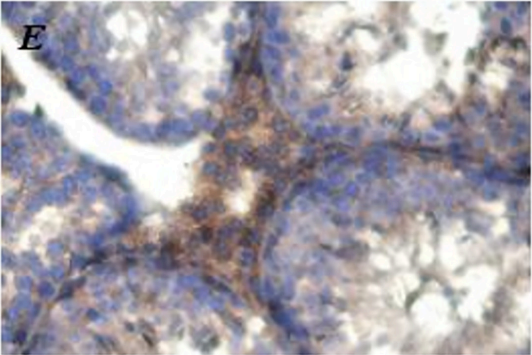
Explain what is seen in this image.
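This section of testis shows parts of several seminiferous tubules with the interstitial tissue between them. The tubules are filled with many cells with small round blue nuclei and pale, vacuolated-looking centres. Where the tubules meet, the interstitial space holds clusters of cells whose cytoplasm is stained brown. Thin dark lines outline the tubule walls. A clear empty gap runs across the upper left.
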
